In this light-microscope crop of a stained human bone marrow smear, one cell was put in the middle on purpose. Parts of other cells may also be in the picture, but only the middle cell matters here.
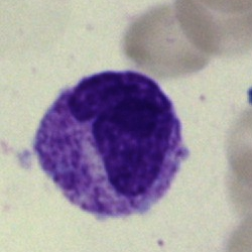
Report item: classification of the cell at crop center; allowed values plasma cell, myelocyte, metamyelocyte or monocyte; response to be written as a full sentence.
The cell sitting right in the middle is a metamyelocyte.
